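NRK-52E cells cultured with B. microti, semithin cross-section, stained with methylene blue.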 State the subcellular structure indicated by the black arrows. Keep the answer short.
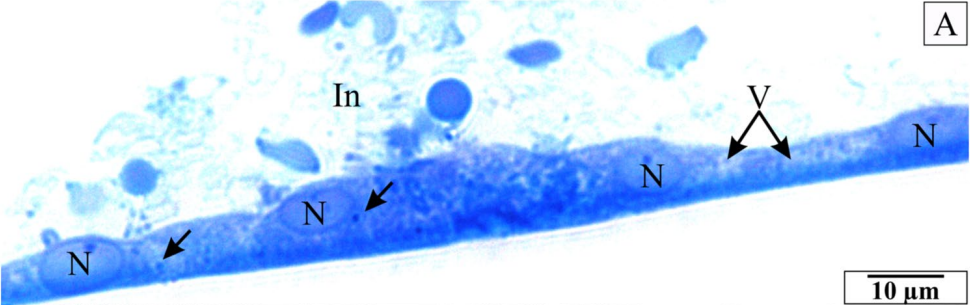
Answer: Granules.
